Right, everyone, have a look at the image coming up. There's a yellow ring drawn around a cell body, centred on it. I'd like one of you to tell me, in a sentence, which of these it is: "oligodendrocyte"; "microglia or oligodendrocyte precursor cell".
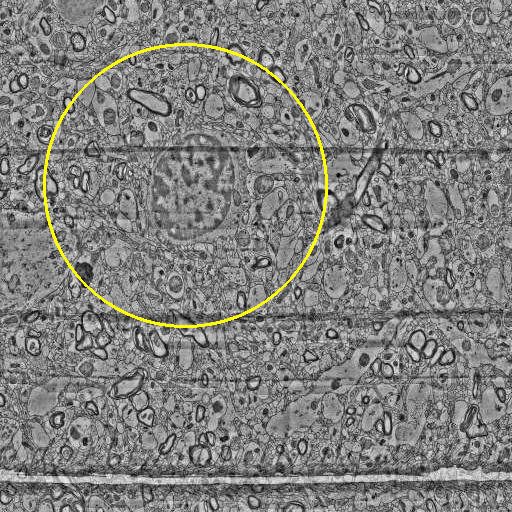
The yellow ring sits on an oligodendrocyte.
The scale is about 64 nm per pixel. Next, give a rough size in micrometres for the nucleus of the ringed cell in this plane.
In this plane the nucleus is about 6 micrometres across.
